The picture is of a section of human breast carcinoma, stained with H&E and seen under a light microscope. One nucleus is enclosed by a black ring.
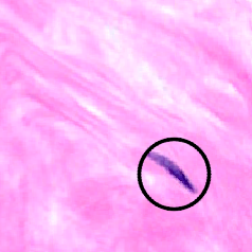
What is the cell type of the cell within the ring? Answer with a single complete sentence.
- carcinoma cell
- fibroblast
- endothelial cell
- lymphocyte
In this tissue sample, the cell within the ring is a fibroblast.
